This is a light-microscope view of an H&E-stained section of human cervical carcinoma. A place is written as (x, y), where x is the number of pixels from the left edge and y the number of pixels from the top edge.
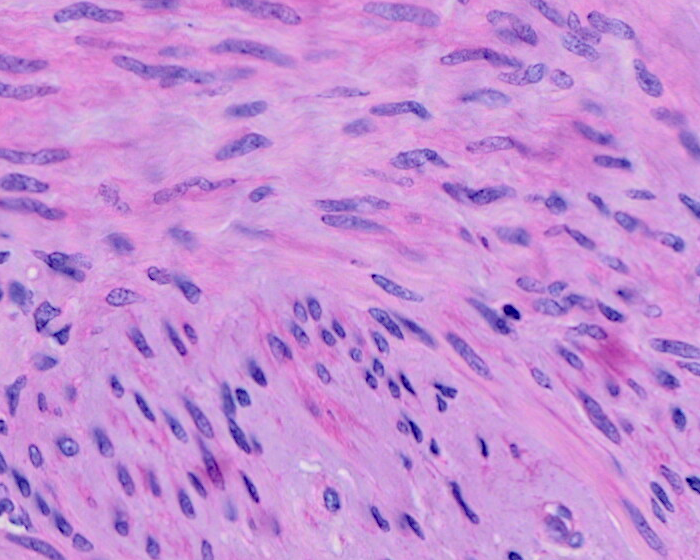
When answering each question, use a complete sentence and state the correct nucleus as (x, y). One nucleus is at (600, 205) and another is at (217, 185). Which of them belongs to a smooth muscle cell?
Of the two, the nucleus at (217, 185) is the one contained in a smooth muscle cell.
